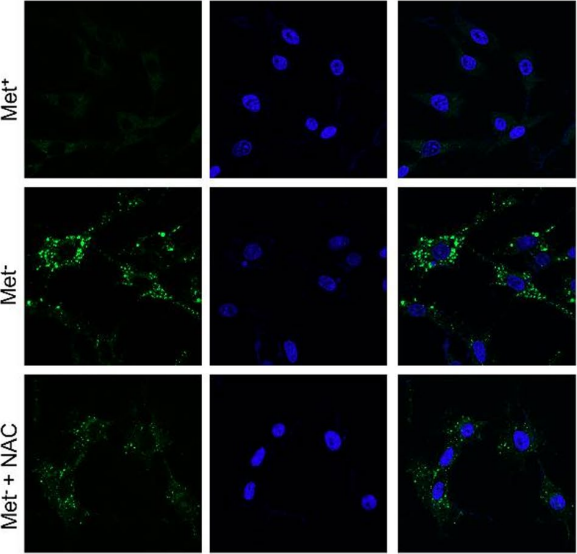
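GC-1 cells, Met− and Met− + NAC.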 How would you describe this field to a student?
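These are cultured cells with oval blue nuclei and flattened cytoplasm. In the middle row many bright green dots cluster in the cytoplasm around the nuclei. The top row shows only faint diffuse green, and the bottom row shows fewer, weaker dots.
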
